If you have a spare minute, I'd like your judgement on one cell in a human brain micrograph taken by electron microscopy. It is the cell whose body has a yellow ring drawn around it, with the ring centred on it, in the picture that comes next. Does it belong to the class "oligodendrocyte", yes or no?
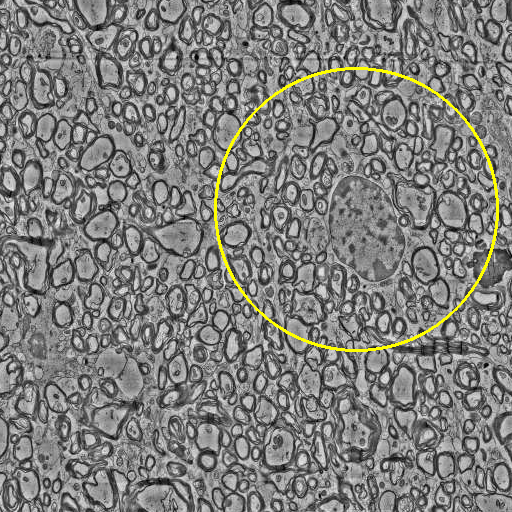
No, it belongs to another class.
